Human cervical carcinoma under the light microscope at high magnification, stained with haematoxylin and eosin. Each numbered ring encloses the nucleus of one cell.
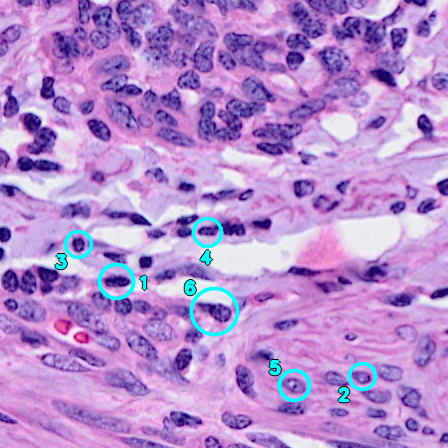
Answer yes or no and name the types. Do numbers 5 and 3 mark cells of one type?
No, cell 5 is a smooth muscle cell, and cell 3, on the other hand, is a lymphocyte.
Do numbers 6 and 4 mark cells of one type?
Yes, along with cell 6, cell 4 is also among the lymphocytes.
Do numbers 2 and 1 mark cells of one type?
No, cell 2 is to be identified as a smooth muscle cell and cell 1 as a lymphocyte.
